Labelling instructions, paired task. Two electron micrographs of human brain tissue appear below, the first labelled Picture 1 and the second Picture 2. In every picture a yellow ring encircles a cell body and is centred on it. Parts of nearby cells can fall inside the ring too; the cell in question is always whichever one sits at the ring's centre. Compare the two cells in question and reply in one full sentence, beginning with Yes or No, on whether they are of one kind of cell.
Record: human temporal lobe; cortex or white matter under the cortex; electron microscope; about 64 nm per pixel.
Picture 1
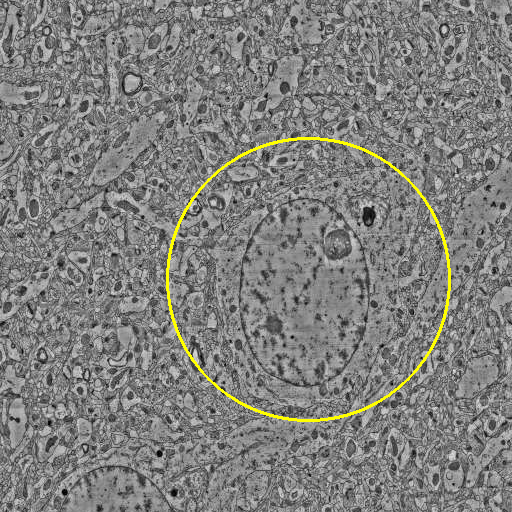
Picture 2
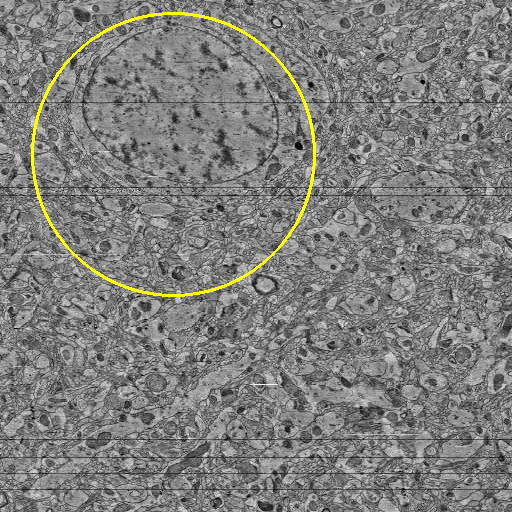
Yes, the two cells at the ring centres in Picture 1 and Picture 2 are of one kind.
